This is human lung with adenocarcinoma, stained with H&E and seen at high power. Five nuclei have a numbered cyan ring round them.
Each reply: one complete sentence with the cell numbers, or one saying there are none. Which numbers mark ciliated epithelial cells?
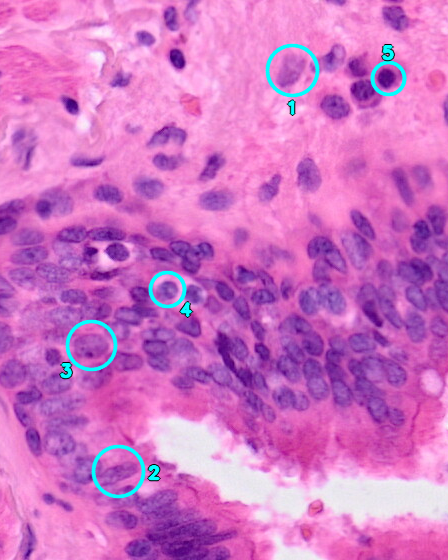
Cells 2 and 3 are classified as ciliated epithelial cells.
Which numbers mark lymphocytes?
Cell 4 alone, of all the numbered cells, is a lymphocyte.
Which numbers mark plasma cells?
Of the numbered cells, only cell 5 is a plasma cell.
